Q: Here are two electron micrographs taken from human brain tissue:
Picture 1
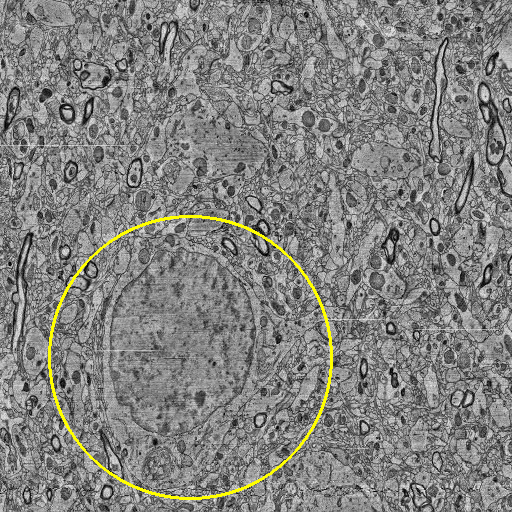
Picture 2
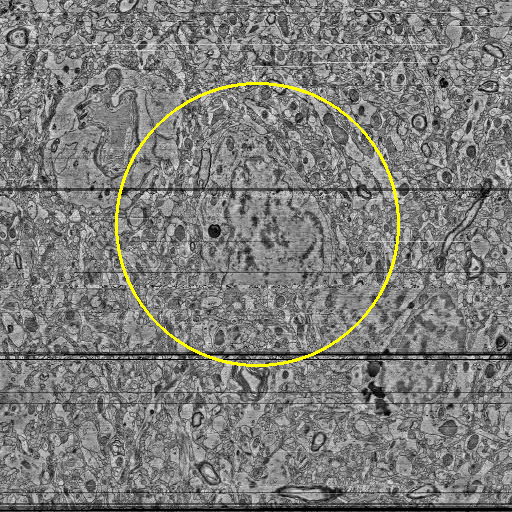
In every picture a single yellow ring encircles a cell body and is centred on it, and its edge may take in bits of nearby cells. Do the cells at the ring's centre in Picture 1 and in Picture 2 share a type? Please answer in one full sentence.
Yes, the cells at the ring's centre in Picture 1 and Picture 2 share a type.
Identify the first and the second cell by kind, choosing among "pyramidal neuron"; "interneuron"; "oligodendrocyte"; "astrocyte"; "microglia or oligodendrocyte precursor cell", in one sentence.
Both pictures show an interneuron at the centre of the ring.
